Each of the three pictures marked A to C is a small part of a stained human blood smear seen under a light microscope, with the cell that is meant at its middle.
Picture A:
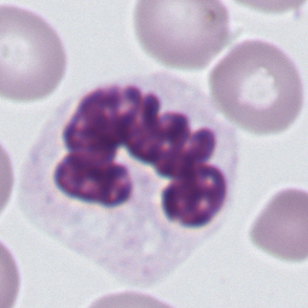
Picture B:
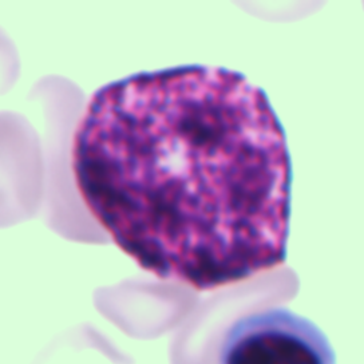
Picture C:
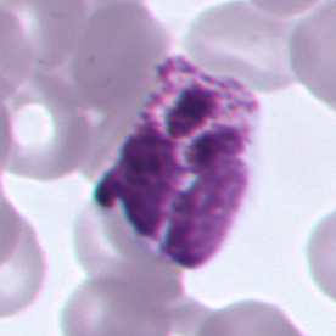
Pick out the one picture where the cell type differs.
A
